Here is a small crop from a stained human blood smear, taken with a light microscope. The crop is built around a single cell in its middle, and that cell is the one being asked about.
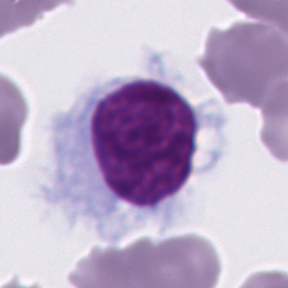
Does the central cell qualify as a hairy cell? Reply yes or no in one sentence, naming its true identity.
Yes, the cell in the middle is rightly called a hairy cell.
